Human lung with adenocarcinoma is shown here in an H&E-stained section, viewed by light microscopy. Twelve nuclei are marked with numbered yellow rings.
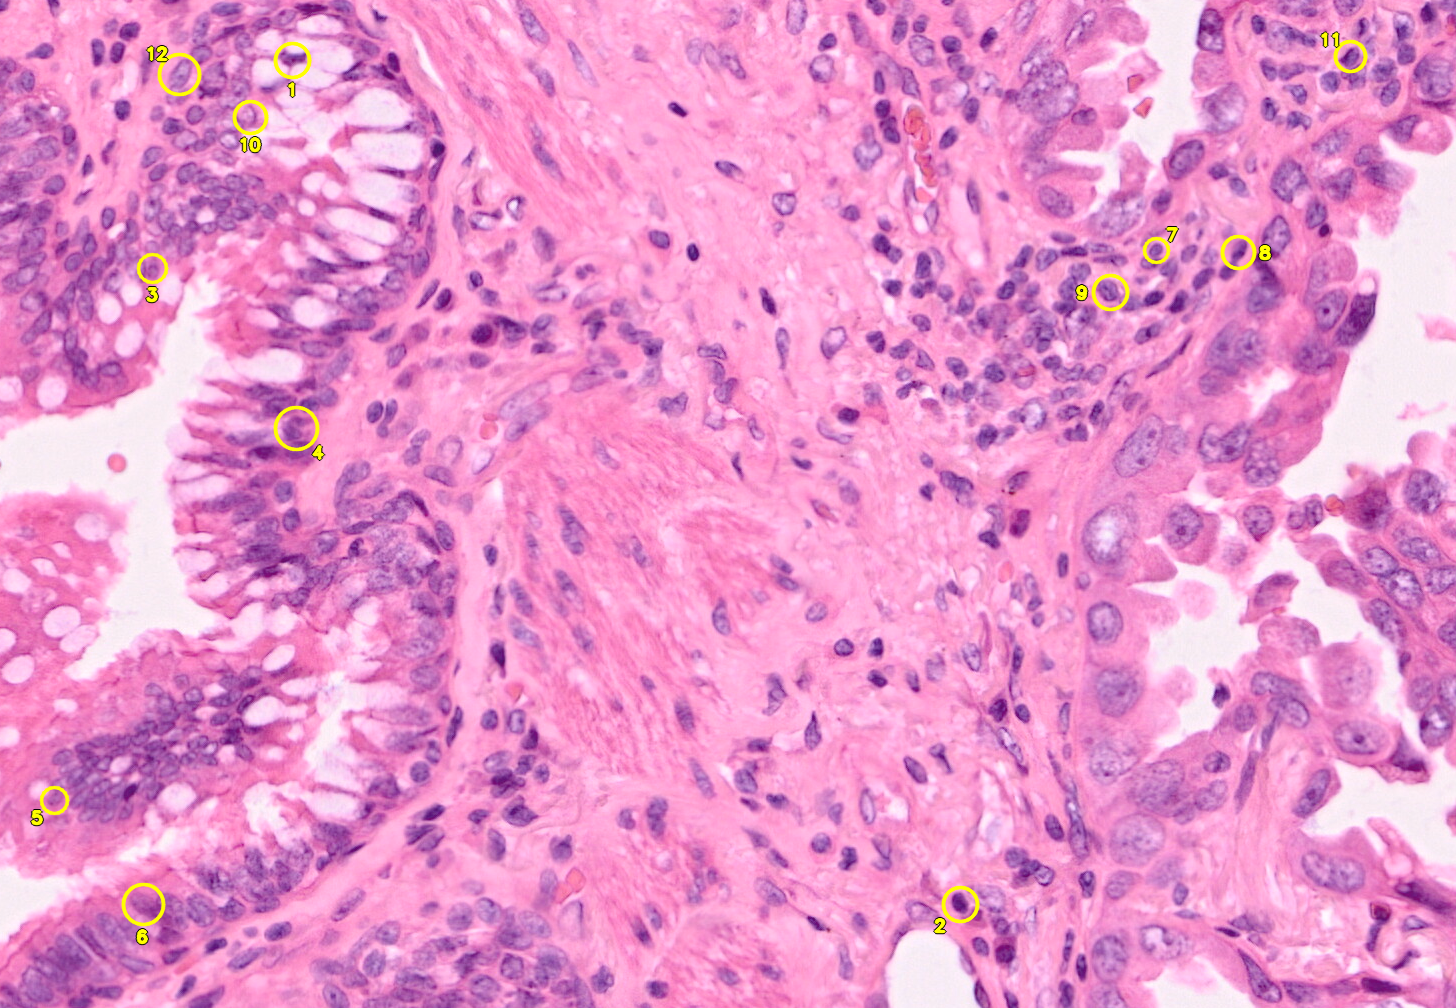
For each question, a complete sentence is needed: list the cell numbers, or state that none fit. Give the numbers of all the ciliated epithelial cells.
The cells that have numbers 1, 3, 4, 5, 6, 10 and 12 are ciliated epithelial cells.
